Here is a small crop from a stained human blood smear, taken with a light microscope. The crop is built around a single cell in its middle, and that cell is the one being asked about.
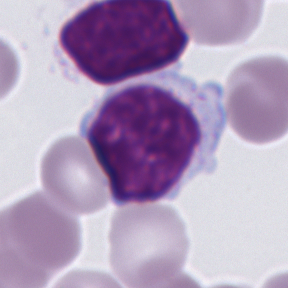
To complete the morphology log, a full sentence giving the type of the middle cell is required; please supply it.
The cell nearest the centre of this crop is a large granular lymphocyte.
